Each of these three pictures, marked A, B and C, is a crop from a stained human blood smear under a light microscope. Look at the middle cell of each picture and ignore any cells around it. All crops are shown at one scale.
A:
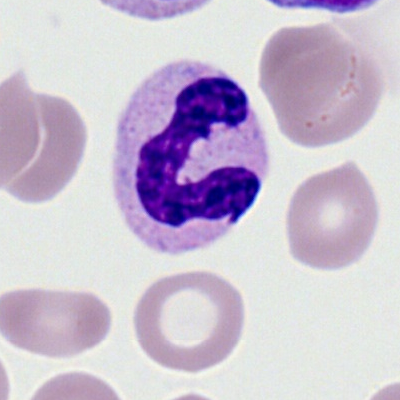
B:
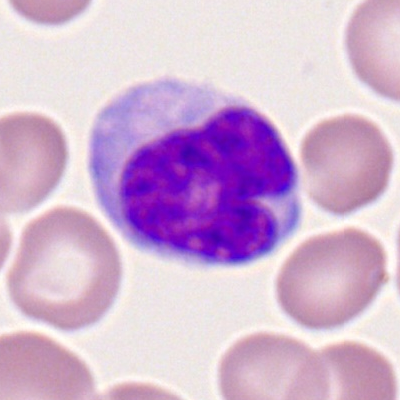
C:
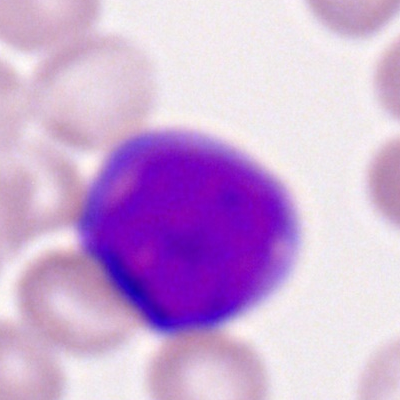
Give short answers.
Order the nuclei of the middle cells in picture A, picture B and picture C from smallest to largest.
A, B, C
